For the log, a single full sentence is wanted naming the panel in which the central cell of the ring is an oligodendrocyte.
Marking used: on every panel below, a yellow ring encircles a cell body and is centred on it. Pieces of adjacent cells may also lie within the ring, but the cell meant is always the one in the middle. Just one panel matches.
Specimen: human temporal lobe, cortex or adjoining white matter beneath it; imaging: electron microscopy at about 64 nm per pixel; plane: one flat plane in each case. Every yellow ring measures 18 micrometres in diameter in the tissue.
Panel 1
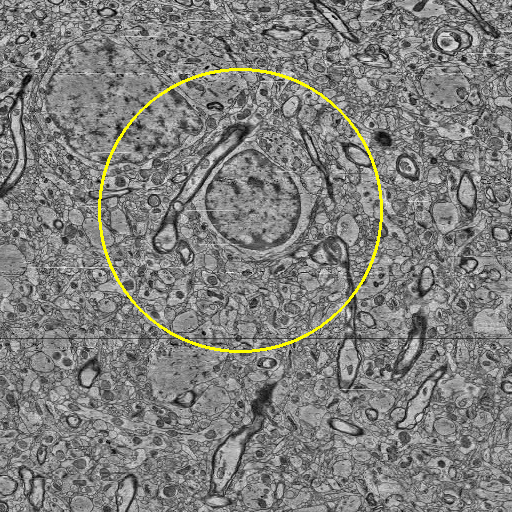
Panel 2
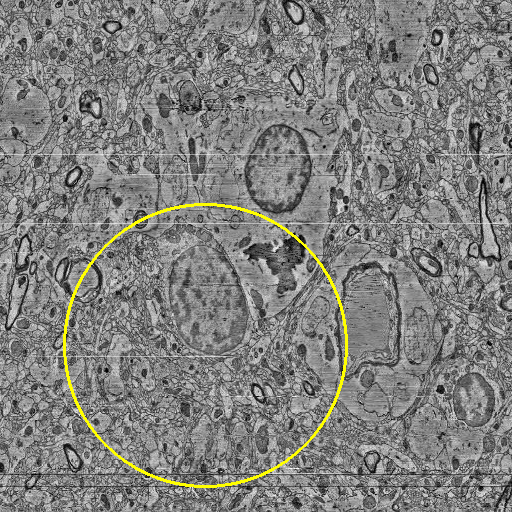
The cell in the middle of the ring in panel 2 is the one asked for.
